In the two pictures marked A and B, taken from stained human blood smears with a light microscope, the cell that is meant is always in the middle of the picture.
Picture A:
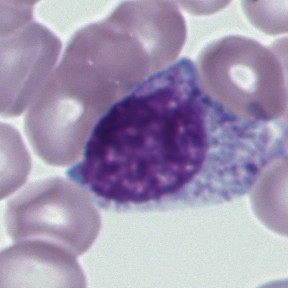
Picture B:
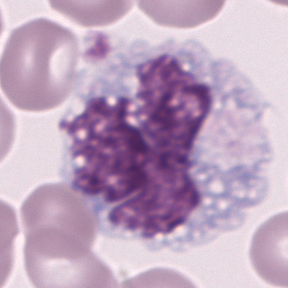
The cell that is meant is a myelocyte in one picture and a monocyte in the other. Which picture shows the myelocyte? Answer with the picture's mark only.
A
